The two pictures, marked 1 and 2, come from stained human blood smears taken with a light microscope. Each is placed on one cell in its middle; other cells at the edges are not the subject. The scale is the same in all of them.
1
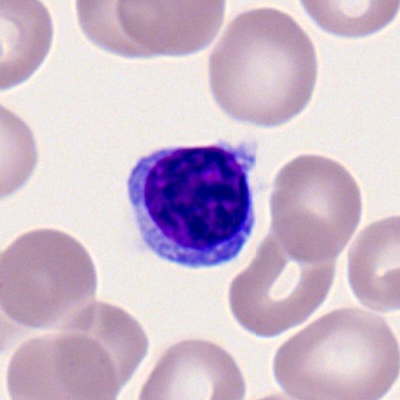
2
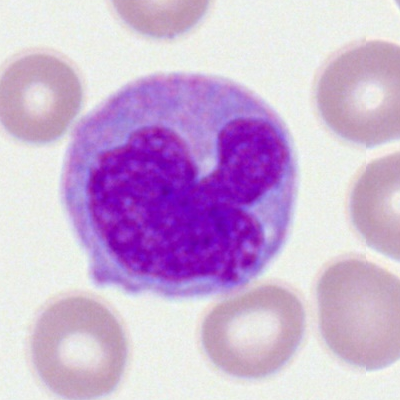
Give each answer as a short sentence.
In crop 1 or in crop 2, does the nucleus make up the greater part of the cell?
In crop 1 the nucleus takes up the larger part of its cell.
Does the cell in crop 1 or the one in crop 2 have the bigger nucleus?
It is the nucleus in crop 2, about 2 times as large in area as the one in crop 1.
